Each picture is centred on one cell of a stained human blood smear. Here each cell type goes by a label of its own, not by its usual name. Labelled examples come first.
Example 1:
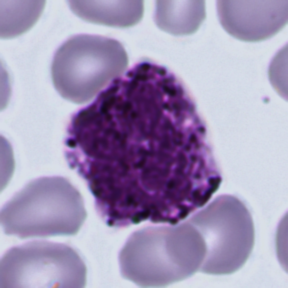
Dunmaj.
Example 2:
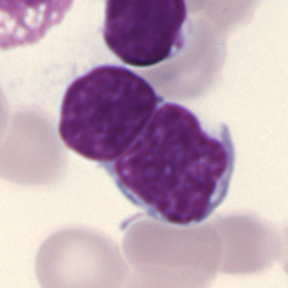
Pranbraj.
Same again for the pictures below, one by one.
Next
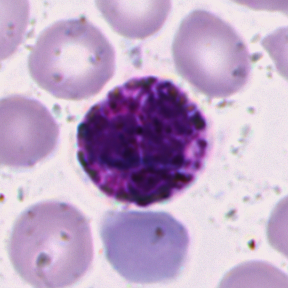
Dunmaj.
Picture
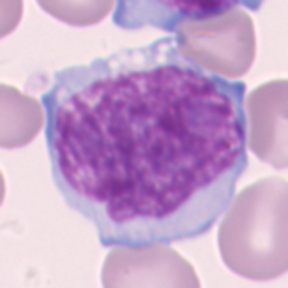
Pranbraj.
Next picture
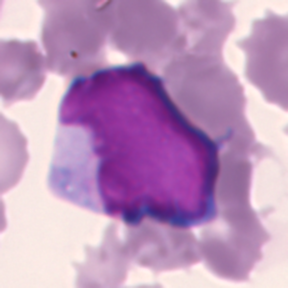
Pranbraj.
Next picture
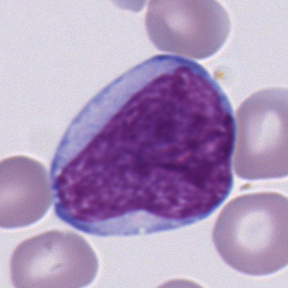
Pranbraj.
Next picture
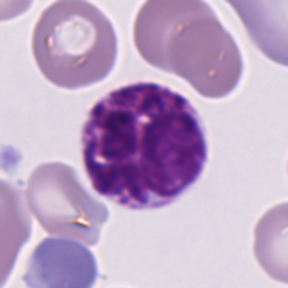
Dunmaj.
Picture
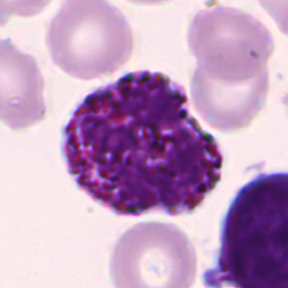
Dunmaj.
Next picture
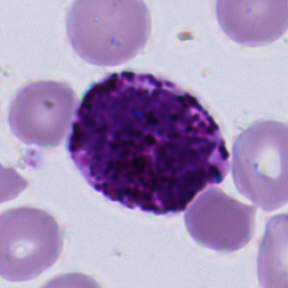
Dunmaj.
